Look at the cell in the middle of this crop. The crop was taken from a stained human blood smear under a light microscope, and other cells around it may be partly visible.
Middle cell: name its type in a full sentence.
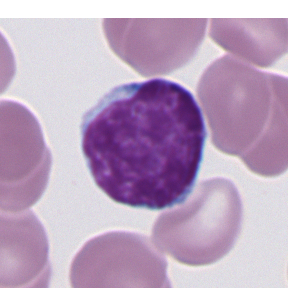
The centered cell in this crop is a typical lymphocyte.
